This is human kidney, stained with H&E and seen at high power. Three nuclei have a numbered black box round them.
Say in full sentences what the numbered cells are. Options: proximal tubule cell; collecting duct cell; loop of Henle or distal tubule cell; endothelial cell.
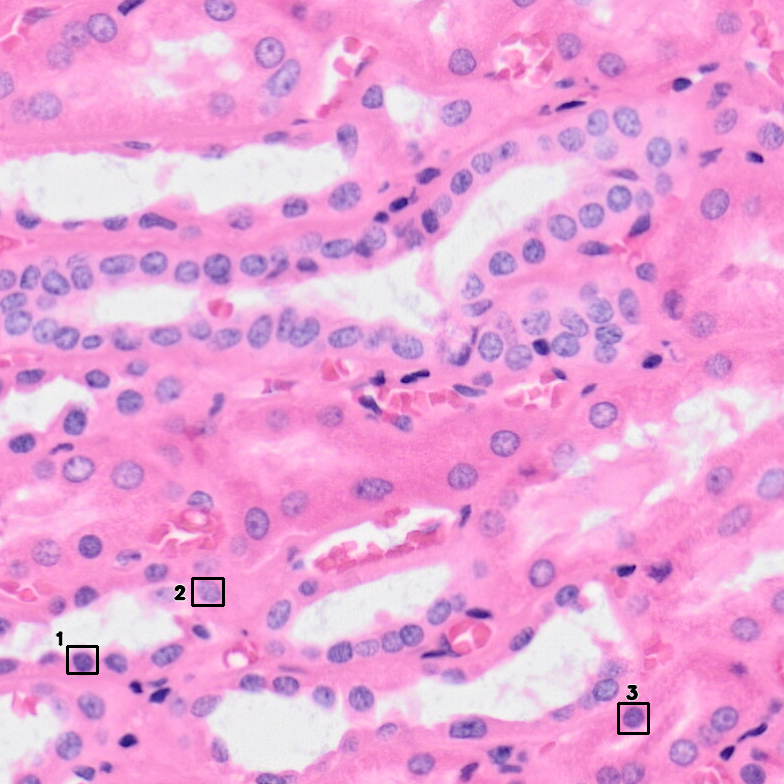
Cell 1 is a loop of Henle or distal tubule cell, cell 2 is a loop of Henle or distal tubule cell and cell 3 is a proximal tubule cell.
